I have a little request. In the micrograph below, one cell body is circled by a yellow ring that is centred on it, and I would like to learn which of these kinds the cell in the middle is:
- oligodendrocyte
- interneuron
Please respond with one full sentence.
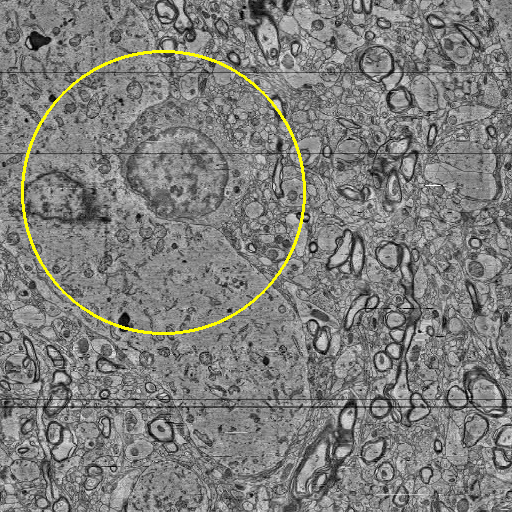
The cell sitting in the middle of the yellow ring in the micrograph is an oligodendrocyte.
